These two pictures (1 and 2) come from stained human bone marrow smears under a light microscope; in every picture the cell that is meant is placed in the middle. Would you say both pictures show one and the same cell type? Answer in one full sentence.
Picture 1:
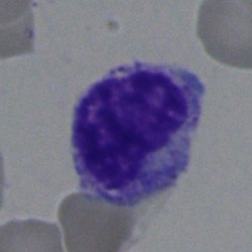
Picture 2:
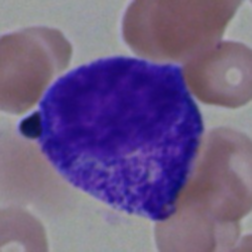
Yes; the cells in both pictures are myelocytes.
